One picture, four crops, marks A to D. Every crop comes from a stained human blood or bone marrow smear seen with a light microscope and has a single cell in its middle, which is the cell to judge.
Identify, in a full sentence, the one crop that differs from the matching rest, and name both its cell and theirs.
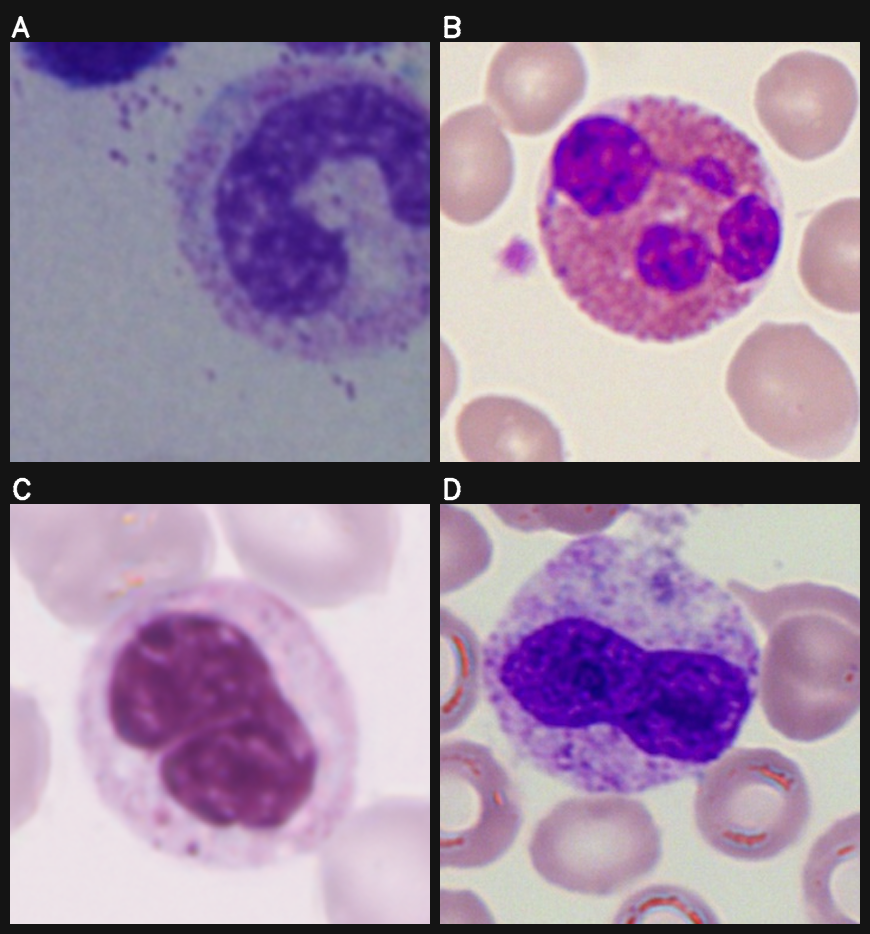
The different one is crop B, which is an eosinophil; the rest all show band neutrophils.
